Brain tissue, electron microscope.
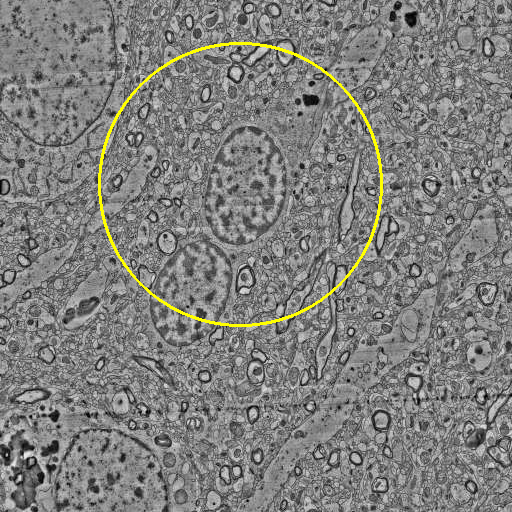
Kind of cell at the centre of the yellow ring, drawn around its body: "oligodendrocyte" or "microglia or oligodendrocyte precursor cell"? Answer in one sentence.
The ring's centre falls on an oligodendrocyte.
